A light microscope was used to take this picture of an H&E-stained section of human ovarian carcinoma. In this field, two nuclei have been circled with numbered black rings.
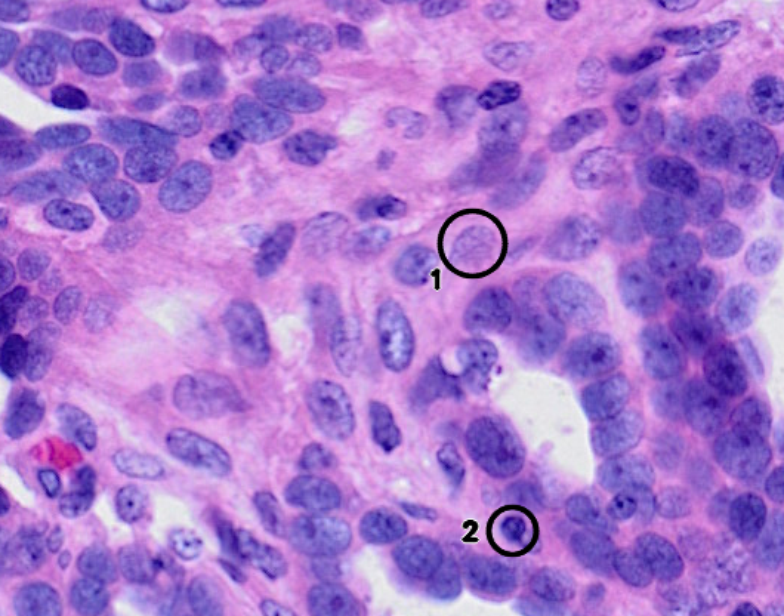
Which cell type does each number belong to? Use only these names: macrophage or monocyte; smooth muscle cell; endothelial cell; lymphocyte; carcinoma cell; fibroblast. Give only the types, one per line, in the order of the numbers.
fibroblast
lymphocyte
